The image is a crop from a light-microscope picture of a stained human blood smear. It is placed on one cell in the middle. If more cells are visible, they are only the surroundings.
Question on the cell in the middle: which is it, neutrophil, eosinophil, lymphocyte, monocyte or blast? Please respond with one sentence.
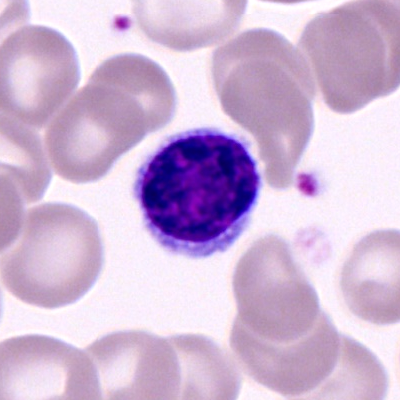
Whatever else lies nearby, the middle cell is a lymphocyte.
